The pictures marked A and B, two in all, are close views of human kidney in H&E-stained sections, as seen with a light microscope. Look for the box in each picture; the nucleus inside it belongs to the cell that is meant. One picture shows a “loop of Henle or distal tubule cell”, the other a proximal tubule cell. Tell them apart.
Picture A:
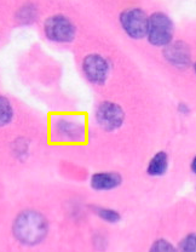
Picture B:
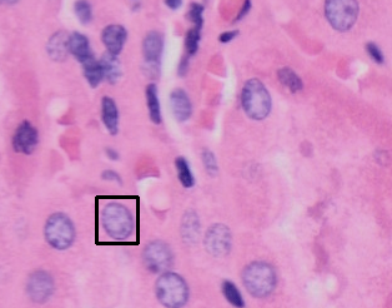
A: loop of Henle or distal tubule cell
B: proximal tubule cell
